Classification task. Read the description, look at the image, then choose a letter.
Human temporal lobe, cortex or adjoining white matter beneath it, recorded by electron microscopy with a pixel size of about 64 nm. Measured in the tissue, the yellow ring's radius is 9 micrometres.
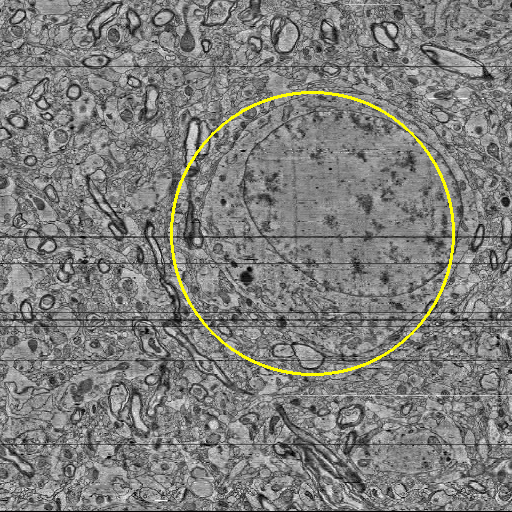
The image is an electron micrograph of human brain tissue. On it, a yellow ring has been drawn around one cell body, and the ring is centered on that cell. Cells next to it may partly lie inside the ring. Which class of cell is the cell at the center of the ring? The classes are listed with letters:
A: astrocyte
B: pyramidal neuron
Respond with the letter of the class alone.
B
